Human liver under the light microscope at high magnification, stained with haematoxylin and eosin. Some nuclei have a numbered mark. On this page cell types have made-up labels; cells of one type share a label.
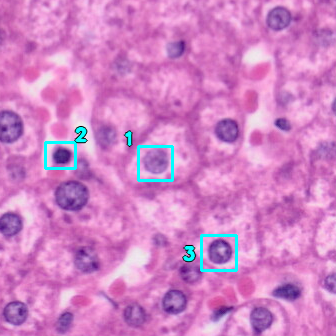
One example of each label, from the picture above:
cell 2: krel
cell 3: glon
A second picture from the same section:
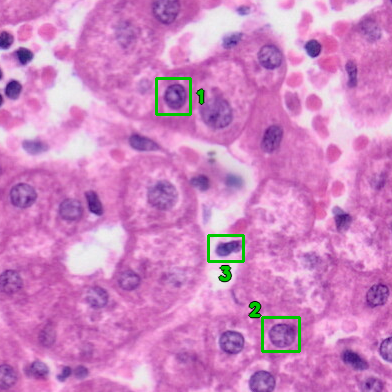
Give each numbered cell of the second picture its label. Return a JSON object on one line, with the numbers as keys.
{"1": "glon", "2": "glon", "3": "krel"}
